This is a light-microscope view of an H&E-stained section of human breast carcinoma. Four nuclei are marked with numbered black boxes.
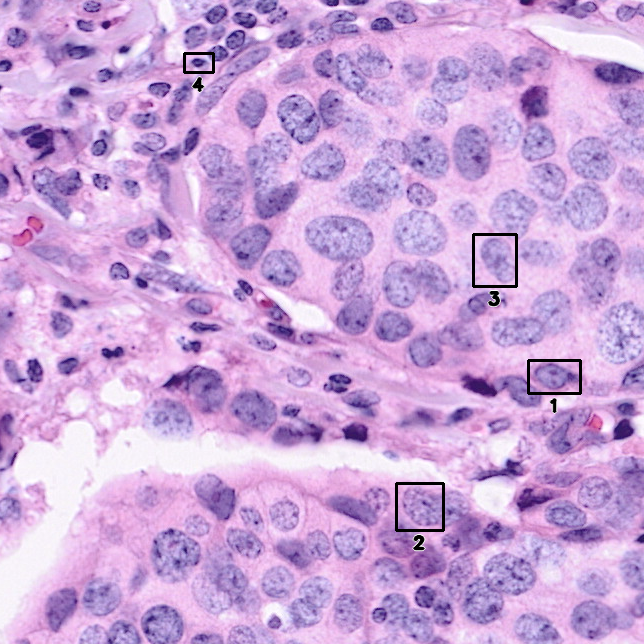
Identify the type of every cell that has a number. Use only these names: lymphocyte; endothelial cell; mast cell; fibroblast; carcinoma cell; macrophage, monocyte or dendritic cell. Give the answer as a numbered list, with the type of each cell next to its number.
1. carcinoma cell
2. carcinoma cell
3. carcinoma cell
4. lymphocyte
